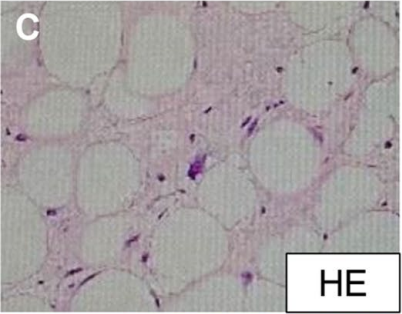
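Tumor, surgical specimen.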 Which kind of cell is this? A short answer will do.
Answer: Mature adipocytes.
